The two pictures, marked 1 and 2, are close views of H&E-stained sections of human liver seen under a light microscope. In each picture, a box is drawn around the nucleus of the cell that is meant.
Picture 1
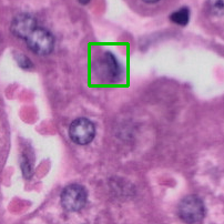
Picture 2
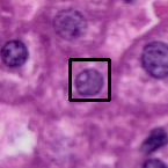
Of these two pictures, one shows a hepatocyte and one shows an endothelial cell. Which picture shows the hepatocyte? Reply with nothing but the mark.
2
